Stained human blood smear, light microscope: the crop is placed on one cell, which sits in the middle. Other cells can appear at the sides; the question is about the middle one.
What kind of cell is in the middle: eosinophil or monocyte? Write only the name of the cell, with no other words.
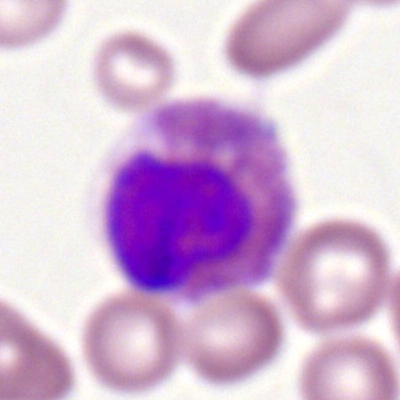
eosinophil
